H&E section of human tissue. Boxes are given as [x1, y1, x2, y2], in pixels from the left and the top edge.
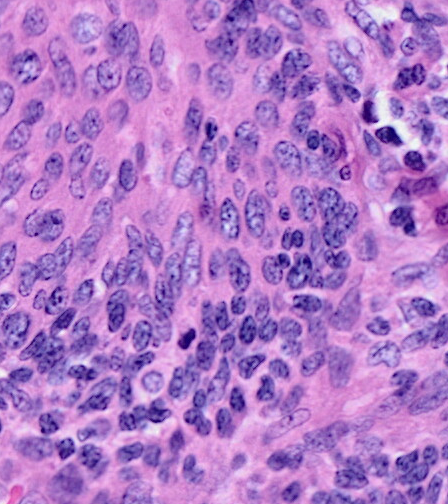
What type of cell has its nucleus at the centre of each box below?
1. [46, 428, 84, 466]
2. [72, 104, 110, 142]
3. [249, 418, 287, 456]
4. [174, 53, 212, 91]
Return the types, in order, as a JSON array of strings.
["lymphocyte", "squamous carcinoma cell", "squamous carcinoma cell", "squamous carcinoma cell"]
